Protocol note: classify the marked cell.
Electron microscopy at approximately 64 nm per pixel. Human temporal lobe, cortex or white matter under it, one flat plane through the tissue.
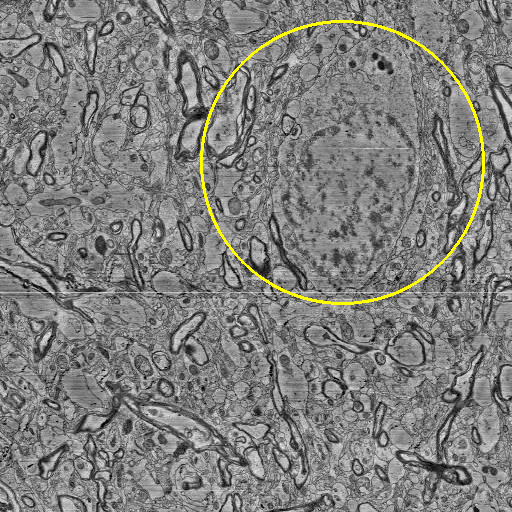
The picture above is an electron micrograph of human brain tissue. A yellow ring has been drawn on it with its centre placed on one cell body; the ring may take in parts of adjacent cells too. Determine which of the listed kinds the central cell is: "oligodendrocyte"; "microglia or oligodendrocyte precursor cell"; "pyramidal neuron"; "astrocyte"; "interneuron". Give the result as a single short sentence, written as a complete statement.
The central cell is an interneuron.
